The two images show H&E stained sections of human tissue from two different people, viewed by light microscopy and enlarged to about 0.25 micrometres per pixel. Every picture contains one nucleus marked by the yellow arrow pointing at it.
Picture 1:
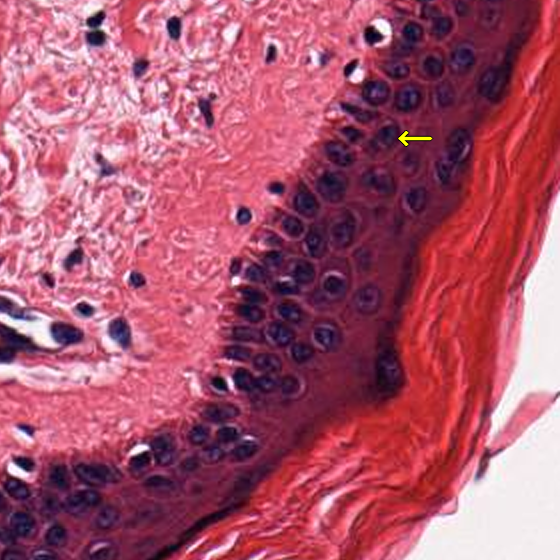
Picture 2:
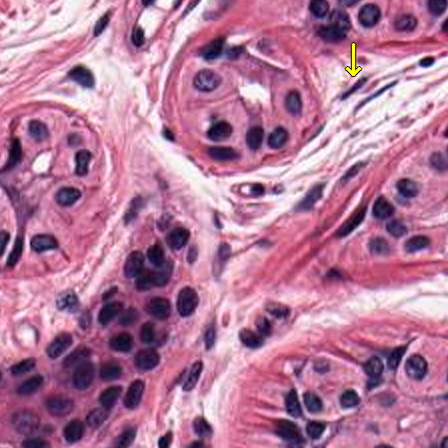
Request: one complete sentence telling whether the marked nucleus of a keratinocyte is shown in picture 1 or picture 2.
Of the two pictures, picture 1 is the one in which the marked nucleus belongs to a keratinocyte.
